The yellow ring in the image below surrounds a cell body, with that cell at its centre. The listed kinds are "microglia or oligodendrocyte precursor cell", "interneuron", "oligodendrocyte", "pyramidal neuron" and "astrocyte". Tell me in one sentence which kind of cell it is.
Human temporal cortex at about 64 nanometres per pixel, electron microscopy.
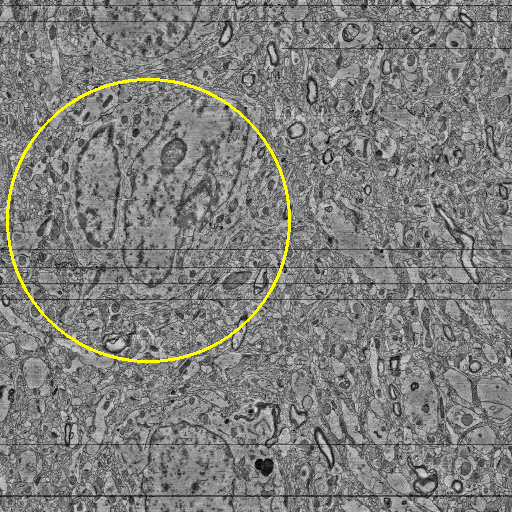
The centre of the ring holds an interneuron.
